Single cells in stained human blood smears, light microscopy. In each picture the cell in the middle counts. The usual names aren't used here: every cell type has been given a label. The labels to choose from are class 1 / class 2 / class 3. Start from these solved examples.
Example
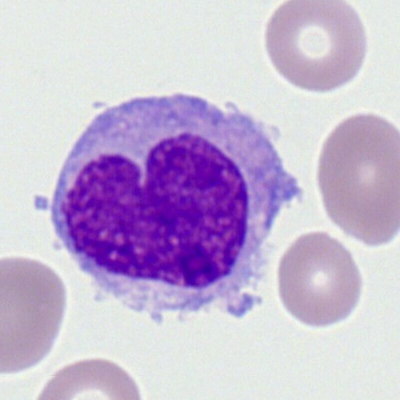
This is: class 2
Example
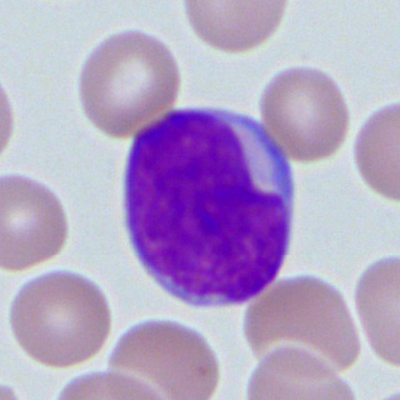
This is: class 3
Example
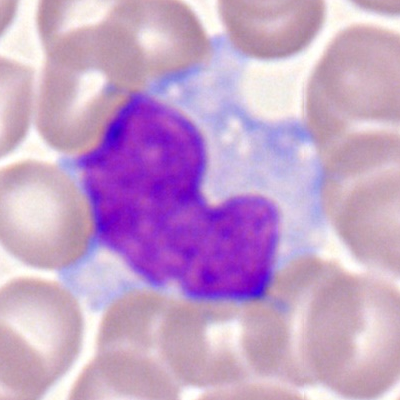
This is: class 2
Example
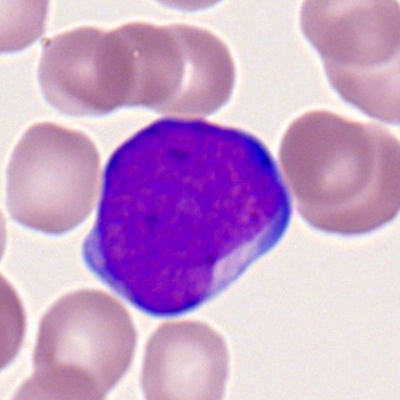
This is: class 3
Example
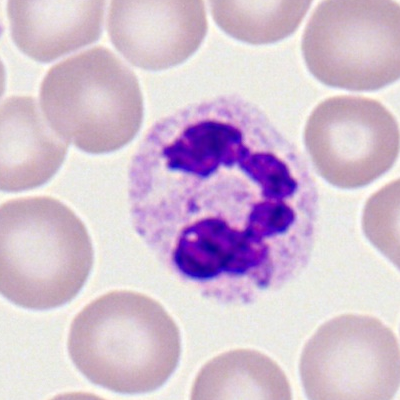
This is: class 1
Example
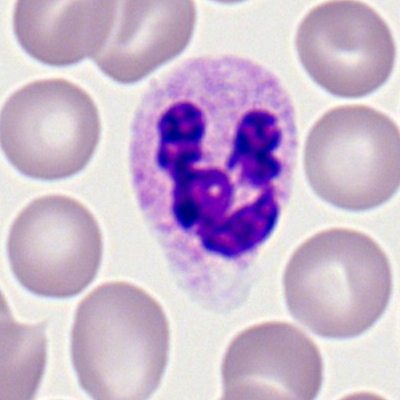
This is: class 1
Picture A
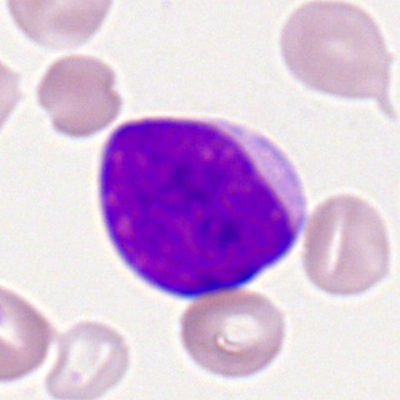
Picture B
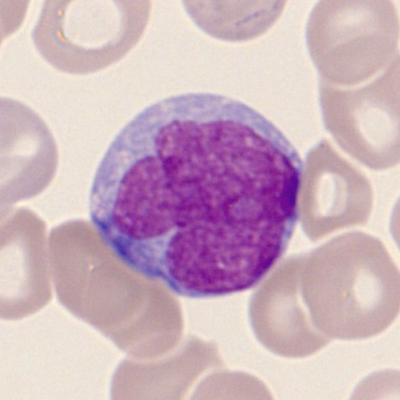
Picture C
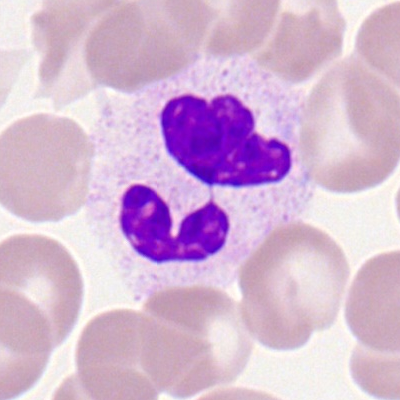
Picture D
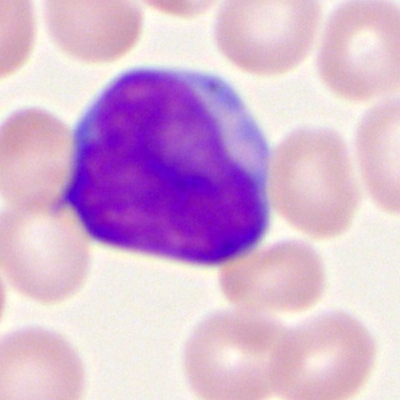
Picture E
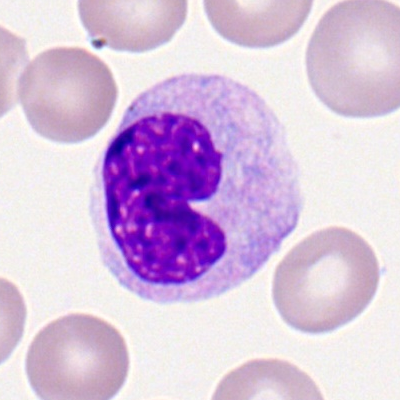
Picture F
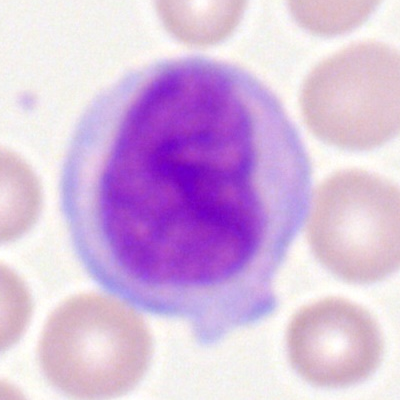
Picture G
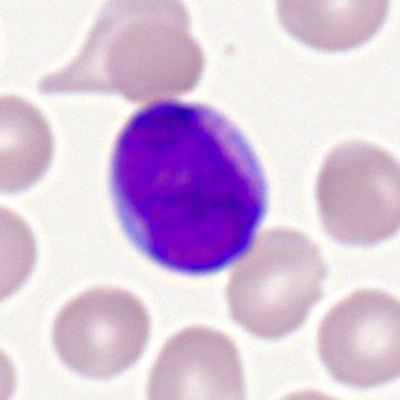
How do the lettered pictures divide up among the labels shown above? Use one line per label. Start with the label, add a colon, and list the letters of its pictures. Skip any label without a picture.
class 1: C
class 2: E, F
class 3: A, B, D, G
